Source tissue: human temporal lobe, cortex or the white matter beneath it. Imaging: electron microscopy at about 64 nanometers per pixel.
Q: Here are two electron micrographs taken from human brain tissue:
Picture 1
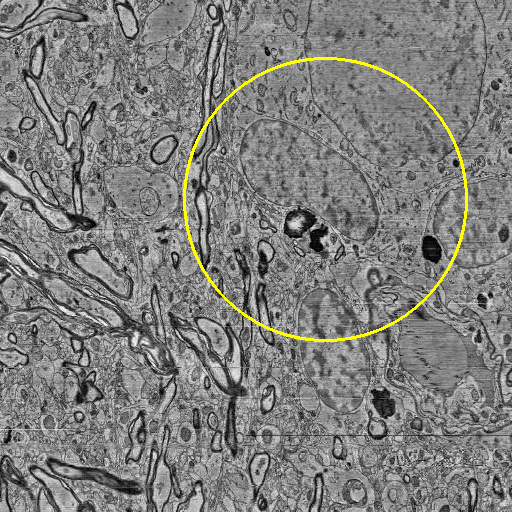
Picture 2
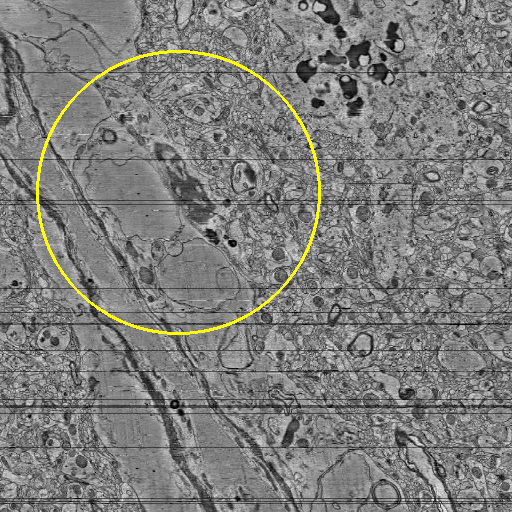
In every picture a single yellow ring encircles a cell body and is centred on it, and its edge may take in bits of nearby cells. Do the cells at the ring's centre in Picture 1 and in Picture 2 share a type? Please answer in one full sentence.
Yes, the cells at the ring's centre in Picture 1 and Picture 2 share a type.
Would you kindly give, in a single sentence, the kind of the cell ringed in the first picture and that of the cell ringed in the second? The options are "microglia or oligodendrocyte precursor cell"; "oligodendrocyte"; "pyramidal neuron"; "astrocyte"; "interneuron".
Each of the two rings is centred on a microglial cell or oligodendrocyte precursor cell.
